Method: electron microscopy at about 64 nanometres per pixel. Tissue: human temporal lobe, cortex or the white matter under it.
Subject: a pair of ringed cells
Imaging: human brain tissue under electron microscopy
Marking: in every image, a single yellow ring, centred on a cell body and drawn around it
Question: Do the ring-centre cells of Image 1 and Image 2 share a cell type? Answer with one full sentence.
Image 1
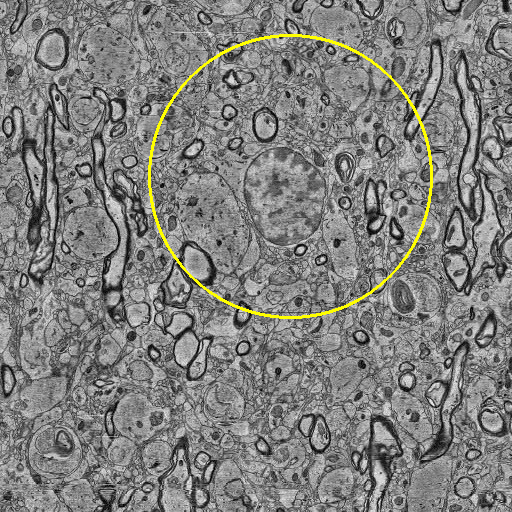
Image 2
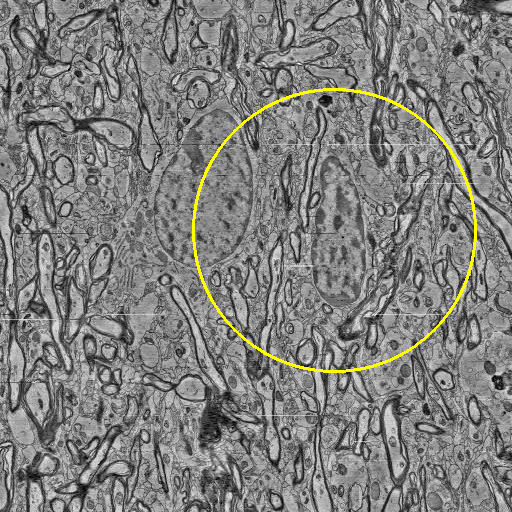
Yes, at each ring's centre in the images sits a cell of one common type.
